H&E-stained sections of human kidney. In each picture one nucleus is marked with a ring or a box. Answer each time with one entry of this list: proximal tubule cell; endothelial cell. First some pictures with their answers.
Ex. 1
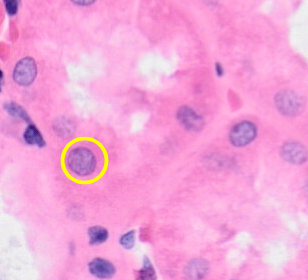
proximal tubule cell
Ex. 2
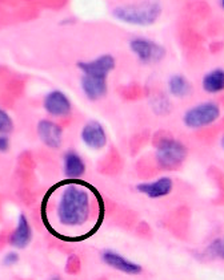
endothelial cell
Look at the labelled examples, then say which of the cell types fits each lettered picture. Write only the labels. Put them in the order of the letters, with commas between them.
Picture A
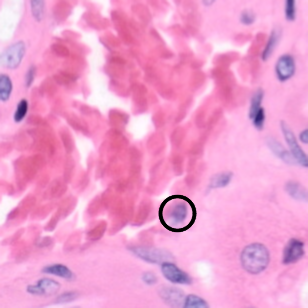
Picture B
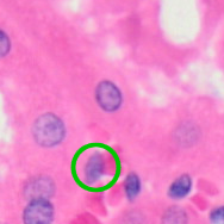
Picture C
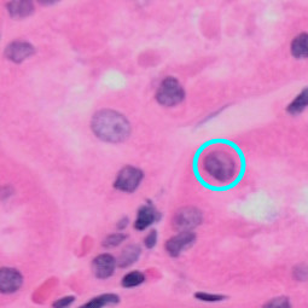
endothelial cell, endothelial cell, proximal tubule cell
